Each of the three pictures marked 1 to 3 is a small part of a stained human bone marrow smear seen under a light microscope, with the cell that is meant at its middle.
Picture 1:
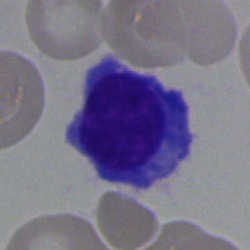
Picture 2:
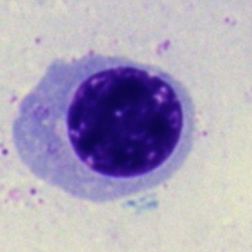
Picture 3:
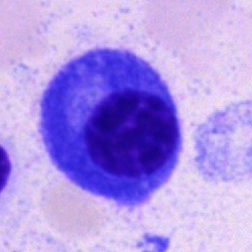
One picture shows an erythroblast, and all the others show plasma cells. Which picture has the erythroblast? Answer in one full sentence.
The cell in picture 2 is the erythroblast.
